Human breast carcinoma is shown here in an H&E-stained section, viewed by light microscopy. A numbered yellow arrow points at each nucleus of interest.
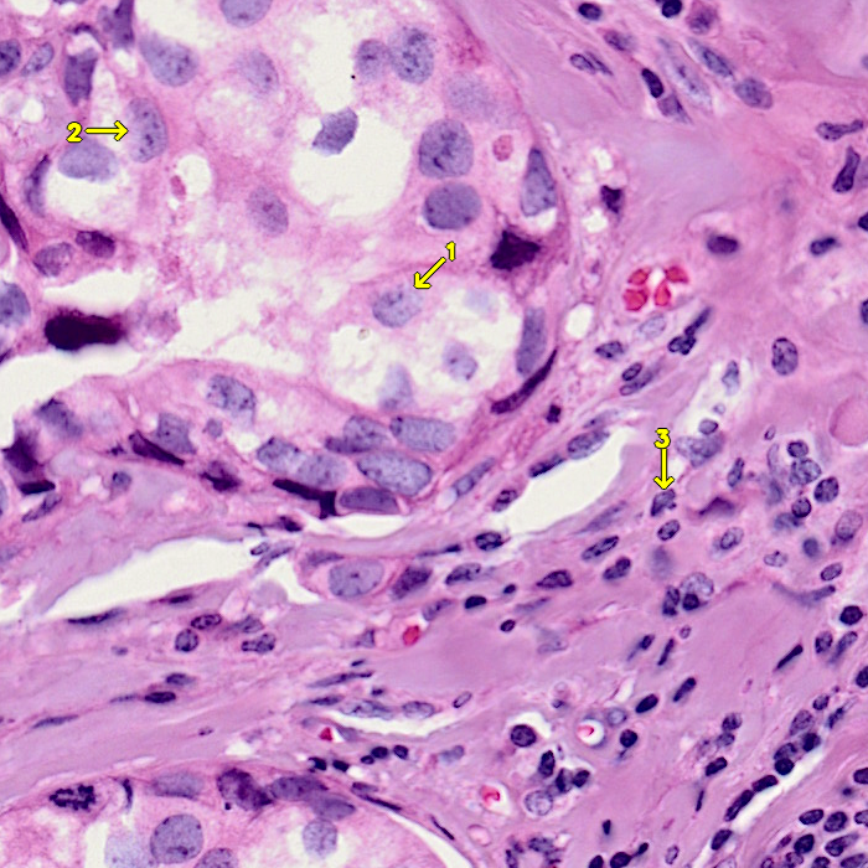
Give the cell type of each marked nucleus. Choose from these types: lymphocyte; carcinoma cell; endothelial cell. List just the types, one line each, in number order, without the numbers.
carcinoma cell
carcinoma cell
lymphocyte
